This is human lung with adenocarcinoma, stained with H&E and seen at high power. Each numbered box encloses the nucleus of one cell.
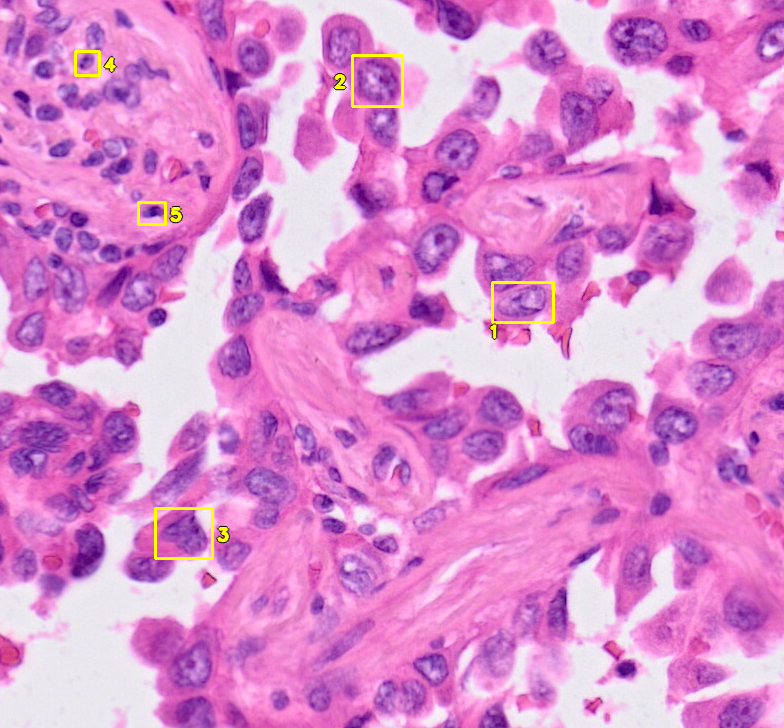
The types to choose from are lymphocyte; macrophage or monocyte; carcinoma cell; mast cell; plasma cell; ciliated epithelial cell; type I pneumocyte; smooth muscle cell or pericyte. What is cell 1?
carcinoma cell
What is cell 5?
lymphocyte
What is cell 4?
lymphocyte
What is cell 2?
carcinoma cell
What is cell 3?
carcinoma cell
